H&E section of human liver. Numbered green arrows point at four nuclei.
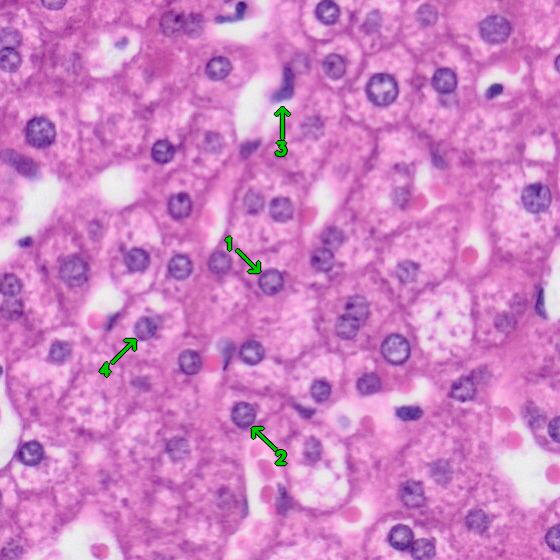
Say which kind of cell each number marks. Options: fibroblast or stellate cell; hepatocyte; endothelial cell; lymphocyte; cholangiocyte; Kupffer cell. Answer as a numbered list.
1. hepatocyte
2. hepatocyte
3. Kupffer cell
4. hepatocyte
